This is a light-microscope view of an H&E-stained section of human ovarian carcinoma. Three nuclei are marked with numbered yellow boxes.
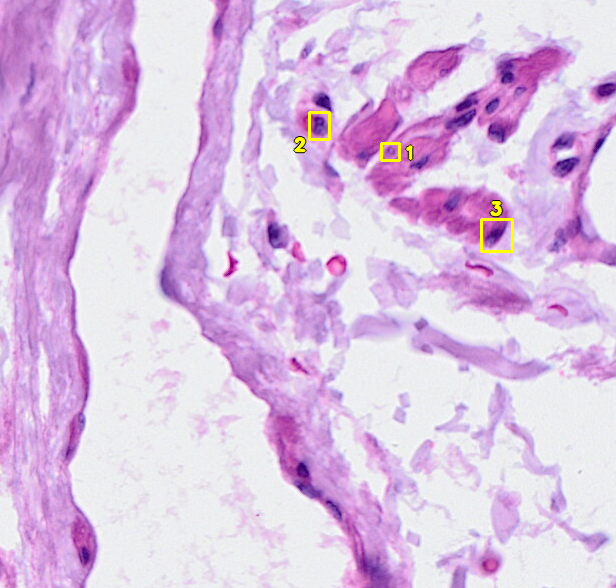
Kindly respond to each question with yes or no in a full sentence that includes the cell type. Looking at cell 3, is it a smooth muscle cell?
Yes, the numbered nucleus 3 is that of a smooth muscle cell.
